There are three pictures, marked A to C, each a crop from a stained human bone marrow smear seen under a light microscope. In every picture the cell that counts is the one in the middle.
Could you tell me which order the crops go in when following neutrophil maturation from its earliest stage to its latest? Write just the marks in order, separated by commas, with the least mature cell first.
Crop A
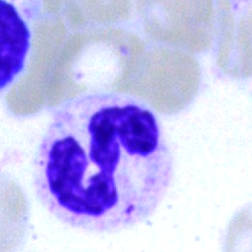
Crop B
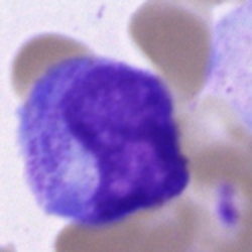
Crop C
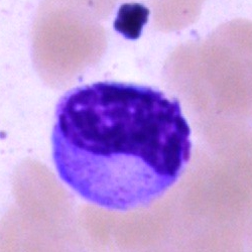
B, C, A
